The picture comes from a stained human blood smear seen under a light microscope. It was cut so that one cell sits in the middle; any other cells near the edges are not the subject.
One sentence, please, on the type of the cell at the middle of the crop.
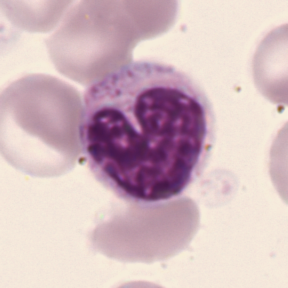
As for the central cell, it is a band neutrophil.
